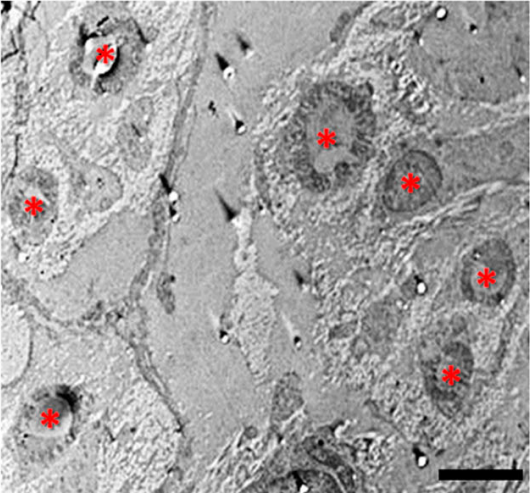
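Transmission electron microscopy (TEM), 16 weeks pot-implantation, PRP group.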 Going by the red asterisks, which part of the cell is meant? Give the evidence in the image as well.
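Each asterisk sits in a round profile cut in cross-section. That points to this answer: axons.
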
